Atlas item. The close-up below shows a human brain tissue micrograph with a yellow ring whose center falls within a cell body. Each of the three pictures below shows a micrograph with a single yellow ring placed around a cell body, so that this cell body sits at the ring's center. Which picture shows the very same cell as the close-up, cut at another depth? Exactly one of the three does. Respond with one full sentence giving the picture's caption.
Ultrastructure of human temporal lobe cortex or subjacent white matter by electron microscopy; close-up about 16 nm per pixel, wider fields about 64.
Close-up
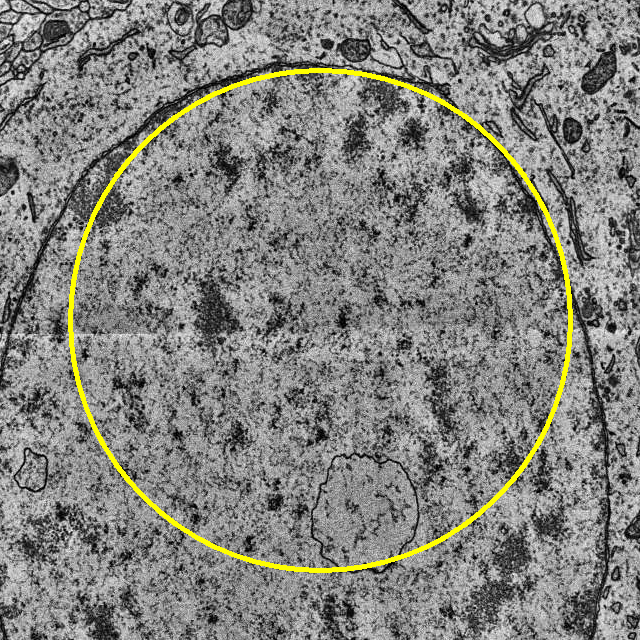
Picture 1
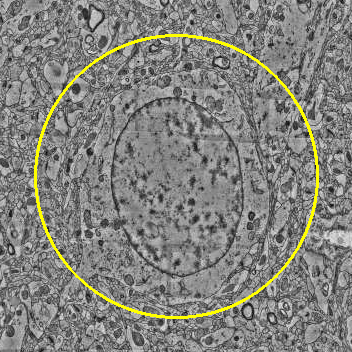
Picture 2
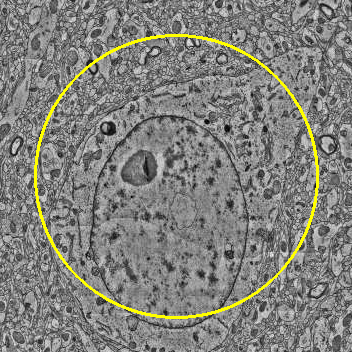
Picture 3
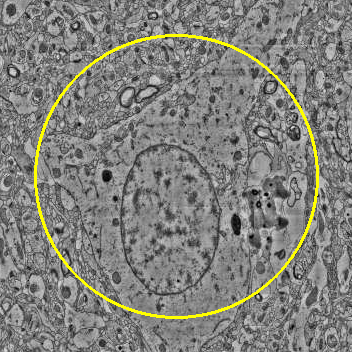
The cell examined up close is the one ringed in Picture 2.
